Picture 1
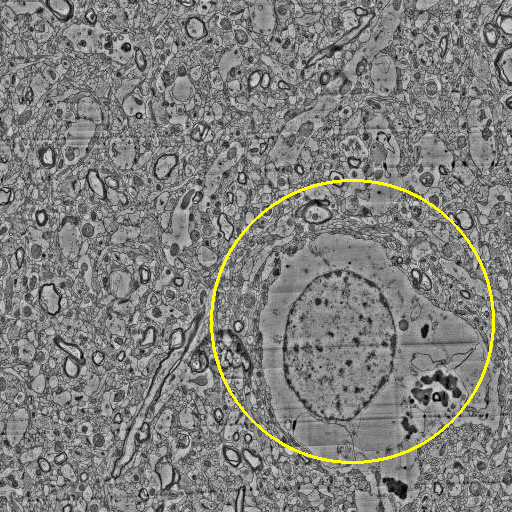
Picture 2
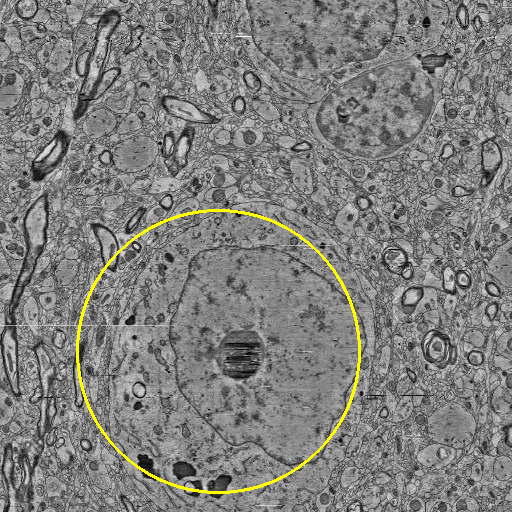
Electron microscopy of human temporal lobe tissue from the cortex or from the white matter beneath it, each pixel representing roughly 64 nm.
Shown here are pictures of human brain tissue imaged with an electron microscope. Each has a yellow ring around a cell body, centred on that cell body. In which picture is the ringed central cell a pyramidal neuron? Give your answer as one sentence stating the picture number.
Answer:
My answer is picture 2, where the ringed cell at the centre is the one sought.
